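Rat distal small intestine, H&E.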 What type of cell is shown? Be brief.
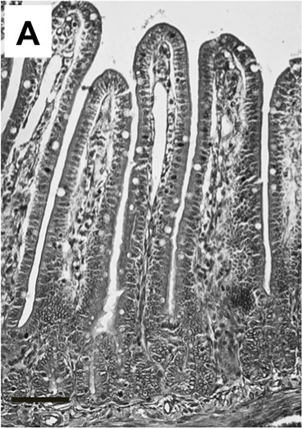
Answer: Mature enterocytes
